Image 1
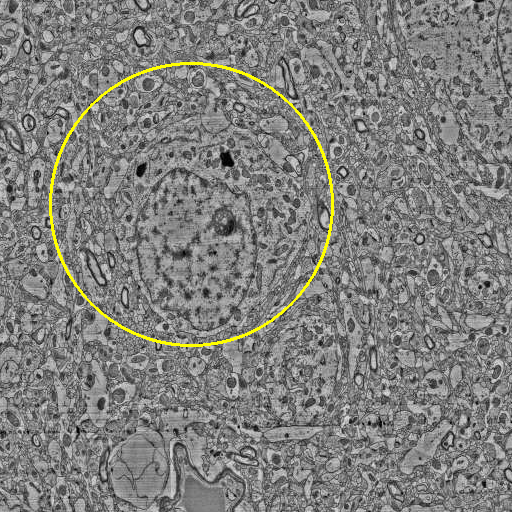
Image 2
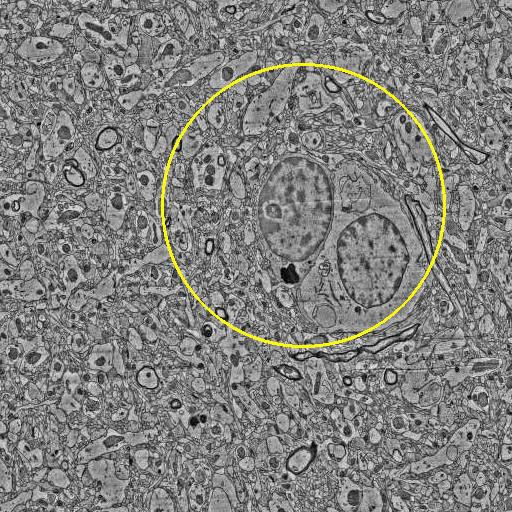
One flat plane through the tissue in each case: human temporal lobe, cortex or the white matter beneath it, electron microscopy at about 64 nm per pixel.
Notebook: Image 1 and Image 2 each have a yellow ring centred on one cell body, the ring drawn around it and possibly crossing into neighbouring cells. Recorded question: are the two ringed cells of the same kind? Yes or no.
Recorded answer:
no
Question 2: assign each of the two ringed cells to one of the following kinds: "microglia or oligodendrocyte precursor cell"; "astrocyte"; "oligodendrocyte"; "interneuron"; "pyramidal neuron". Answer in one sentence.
The two cells are an interneuron in the first picture and an oligodendrocyte in the second.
